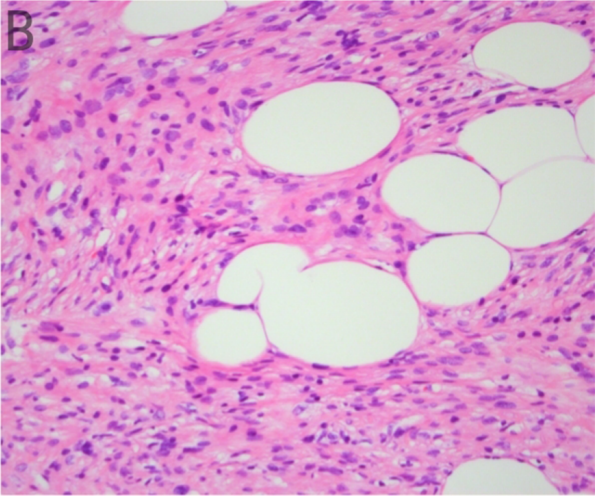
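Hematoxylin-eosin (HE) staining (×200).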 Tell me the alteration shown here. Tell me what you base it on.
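Spindle tumor cells infiltrating adipocytes. Large round clear fat vacuoles lie scattered among the cells. Spindle cells with elongated nuclei surround and lie between the fat cells.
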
